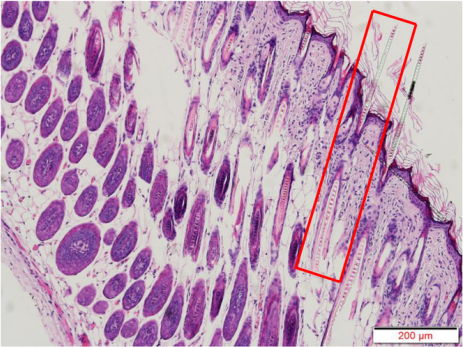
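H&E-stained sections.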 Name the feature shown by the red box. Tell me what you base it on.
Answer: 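Hair shafts. Long, thin, pale, streaked rods run obliquely inside the box. The rods pass up through the purple epidermis and out beyond the skin surface.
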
